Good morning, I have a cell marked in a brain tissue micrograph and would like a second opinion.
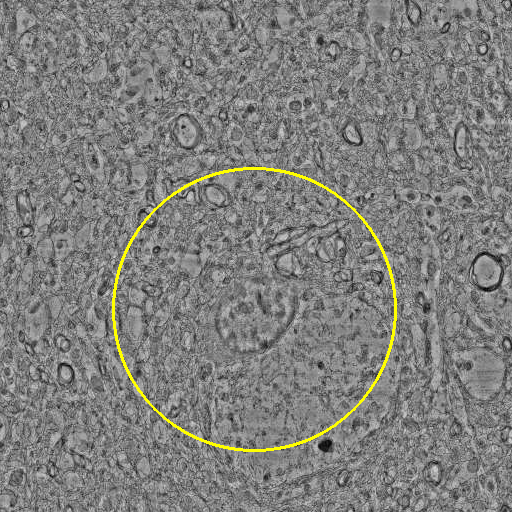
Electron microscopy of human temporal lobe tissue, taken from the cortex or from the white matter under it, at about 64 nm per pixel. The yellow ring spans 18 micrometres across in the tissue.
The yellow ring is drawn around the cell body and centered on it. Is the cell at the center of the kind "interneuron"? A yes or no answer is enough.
no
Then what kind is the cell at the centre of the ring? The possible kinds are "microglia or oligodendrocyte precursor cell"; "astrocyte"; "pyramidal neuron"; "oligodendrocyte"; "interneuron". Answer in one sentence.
The ring holds an oligodendrocyte at its centre.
